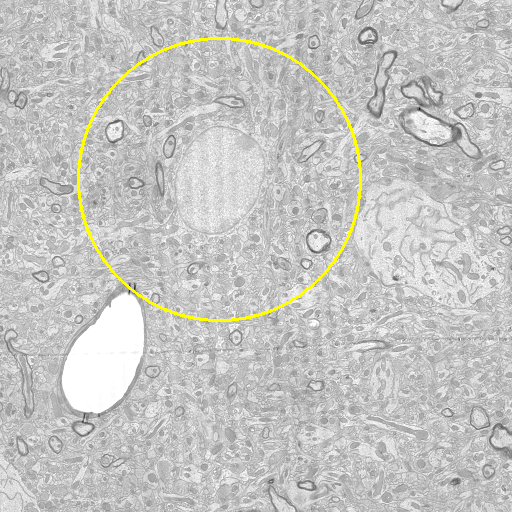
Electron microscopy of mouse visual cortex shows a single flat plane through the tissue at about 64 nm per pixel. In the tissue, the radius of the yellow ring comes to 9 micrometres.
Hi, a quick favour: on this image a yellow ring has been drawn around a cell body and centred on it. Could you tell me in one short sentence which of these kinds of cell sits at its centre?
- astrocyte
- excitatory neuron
The ring is centred on an astrocyte.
